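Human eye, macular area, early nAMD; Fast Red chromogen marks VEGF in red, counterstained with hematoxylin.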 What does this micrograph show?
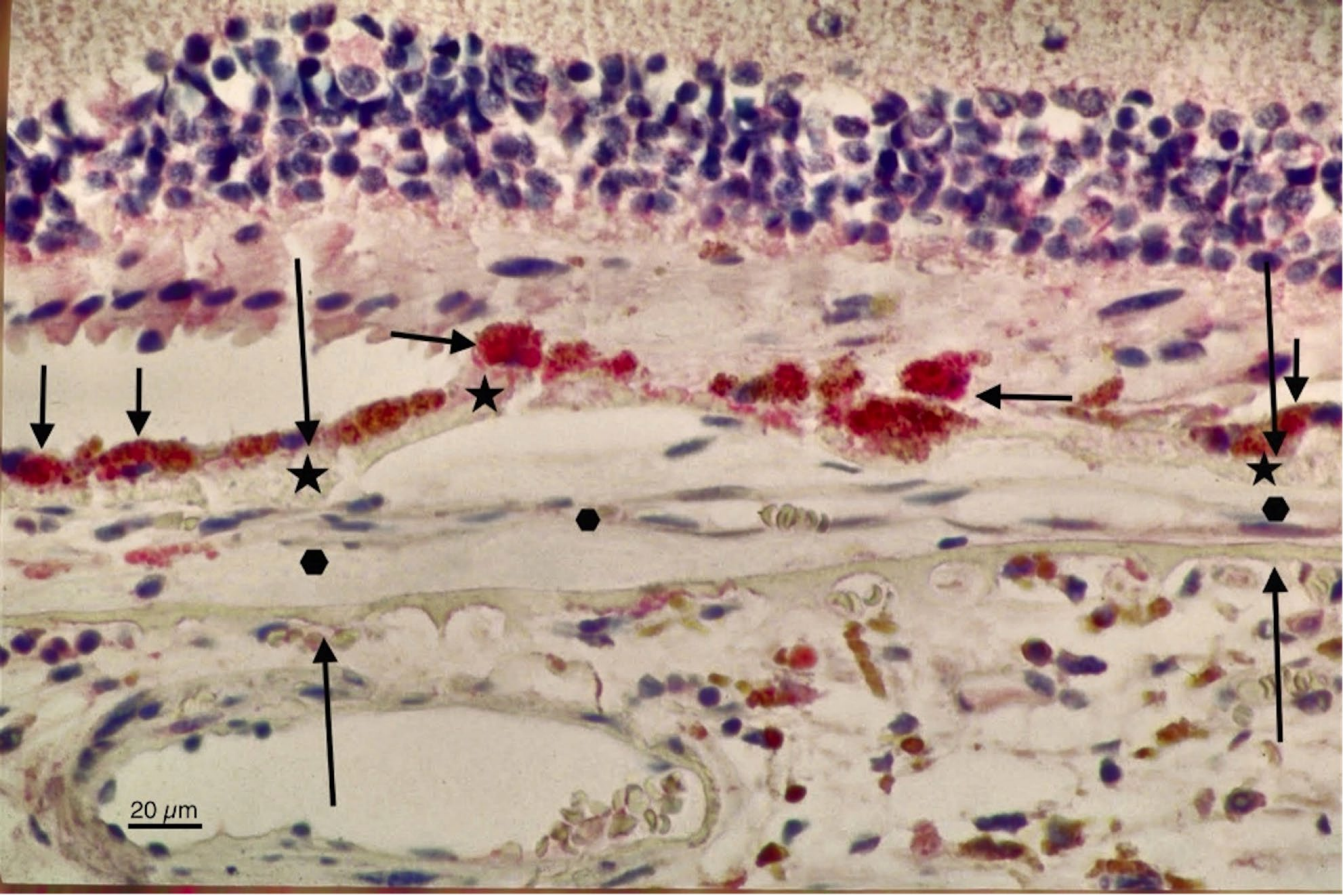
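Outer retina over retinal pigment epithelium, a thickened Bruch’s membrane and choroid. At the top, crowded rows of round, dark blue nuclei lie above a pale pink band of fibrous material. Beneath this, a single row of pigment epithelial cells carries dense granular red deposit; some cells are clumped or lifted. The lowest part is loose choroidal tissue with a large vessel and scattered round cells.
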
